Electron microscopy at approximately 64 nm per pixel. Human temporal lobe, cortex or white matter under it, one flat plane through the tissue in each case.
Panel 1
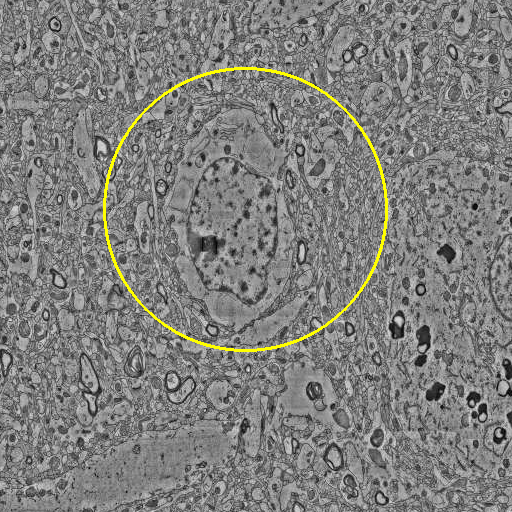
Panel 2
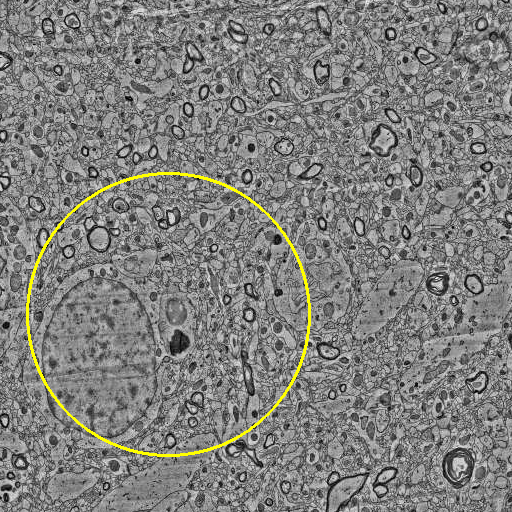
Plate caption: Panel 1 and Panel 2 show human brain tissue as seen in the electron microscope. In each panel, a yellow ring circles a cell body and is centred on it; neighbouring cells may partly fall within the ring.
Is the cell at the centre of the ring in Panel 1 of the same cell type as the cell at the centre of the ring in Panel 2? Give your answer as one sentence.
No, the two cells are of two types.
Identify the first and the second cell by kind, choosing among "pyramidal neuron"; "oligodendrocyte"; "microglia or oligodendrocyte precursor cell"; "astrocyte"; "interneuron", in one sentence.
The one in the first picture is an astrocyte, while the one in the second is an oligodendrocyte.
